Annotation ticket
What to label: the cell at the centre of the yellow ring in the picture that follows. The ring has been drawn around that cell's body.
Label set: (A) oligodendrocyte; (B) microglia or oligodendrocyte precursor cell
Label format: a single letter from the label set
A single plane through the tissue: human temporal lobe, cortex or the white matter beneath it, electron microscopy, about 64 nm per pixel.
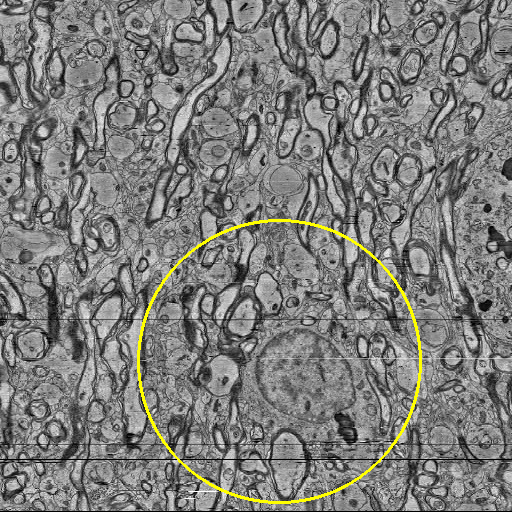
A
